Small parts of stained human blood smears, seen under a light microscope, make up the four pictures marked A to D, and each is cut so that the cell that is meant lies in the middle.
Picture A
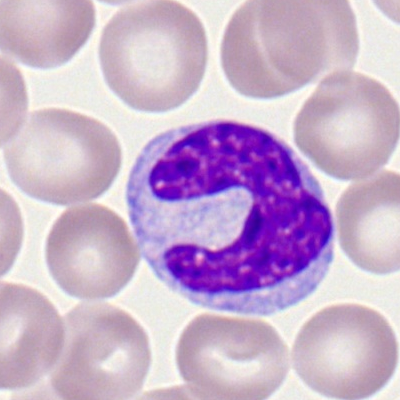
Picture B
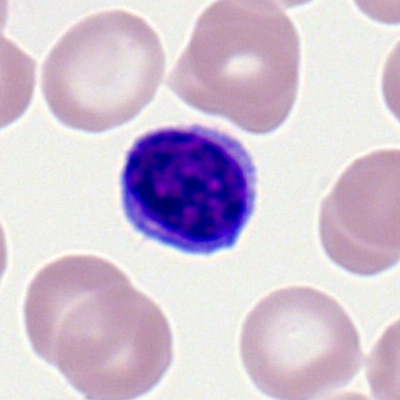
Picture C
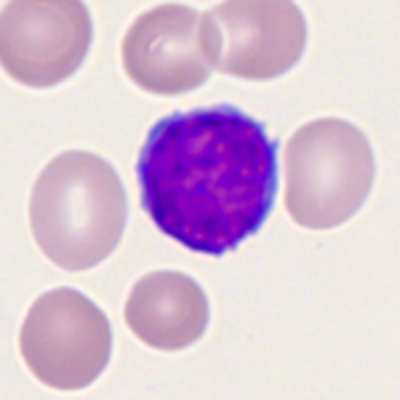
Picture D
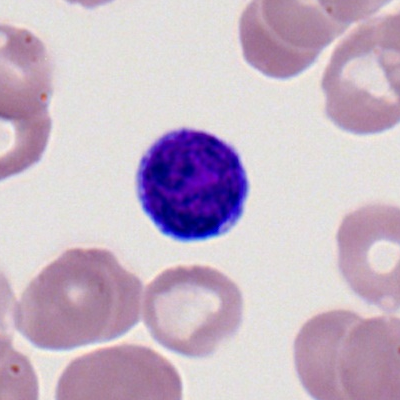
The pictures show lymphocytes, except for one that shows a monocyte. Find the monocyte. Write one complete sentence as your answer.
Picture A is the one that shows the monocyte.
